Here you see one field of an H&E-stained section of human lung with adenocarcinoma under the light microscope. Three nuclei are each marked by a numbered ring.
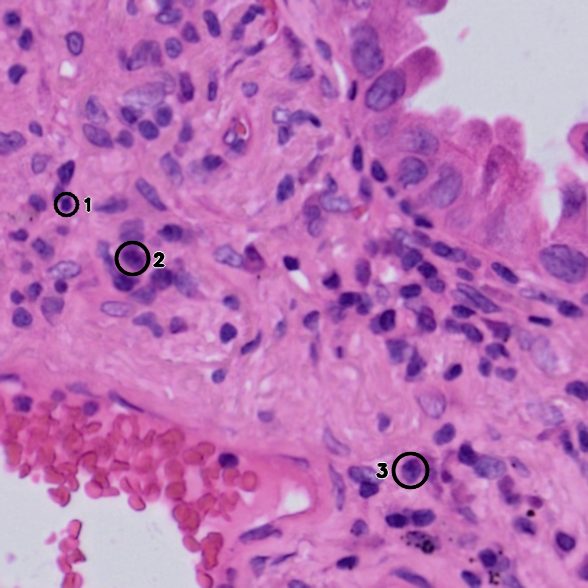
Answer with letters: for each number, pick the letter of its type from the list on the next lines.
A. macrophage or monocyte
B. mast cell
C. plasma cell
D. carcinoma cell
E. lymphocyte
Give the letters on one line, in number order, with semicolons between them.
E; C; C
